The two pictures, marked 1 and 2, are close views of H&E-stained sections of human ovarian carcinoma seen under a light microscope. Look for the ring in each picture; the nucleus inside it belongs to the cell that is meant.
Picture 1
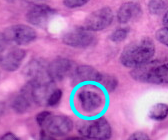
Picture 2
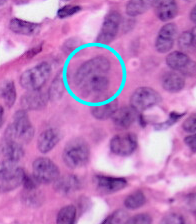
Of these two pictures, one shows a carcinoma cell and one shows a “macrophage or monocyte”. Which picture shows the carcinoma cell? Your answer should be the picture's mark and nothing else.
2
